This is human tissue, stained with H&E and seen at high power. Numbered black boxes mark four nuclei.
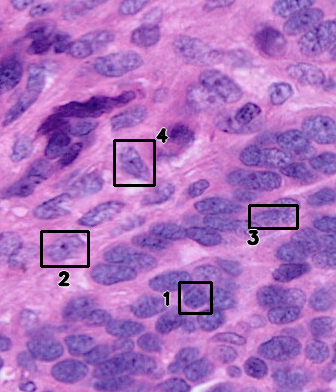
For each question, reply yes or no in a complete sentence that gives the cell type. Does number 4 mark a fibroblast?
Yes, the cell with number 4 is a fibroblast.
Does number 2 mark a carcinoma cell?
No, the cell tagged 2 is a fibroblast, not a carcinoma cell.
